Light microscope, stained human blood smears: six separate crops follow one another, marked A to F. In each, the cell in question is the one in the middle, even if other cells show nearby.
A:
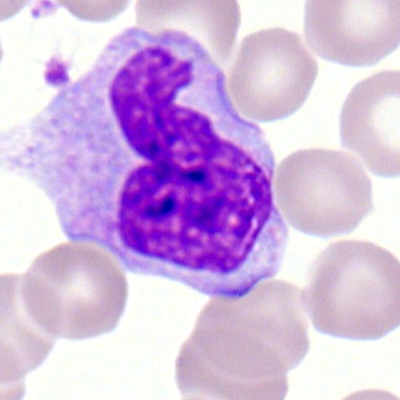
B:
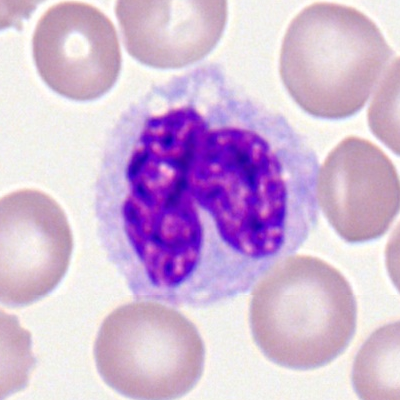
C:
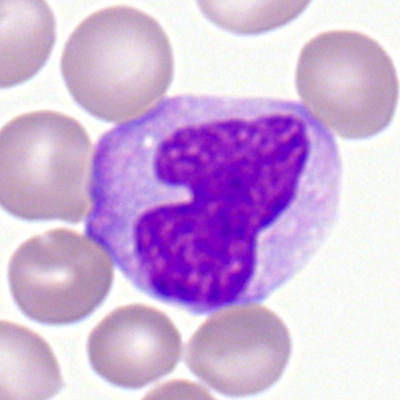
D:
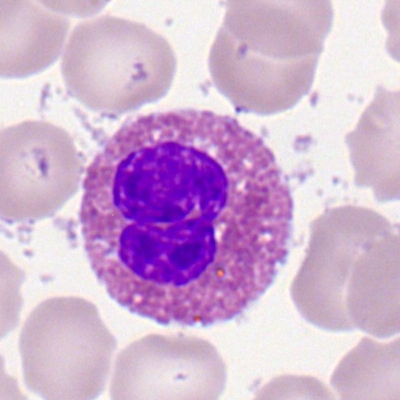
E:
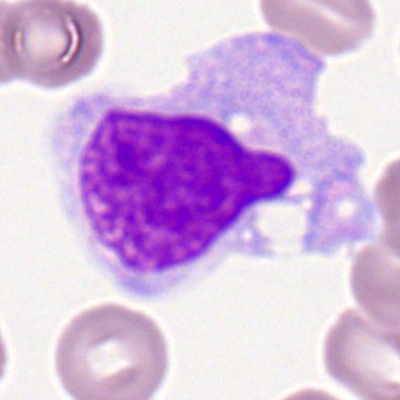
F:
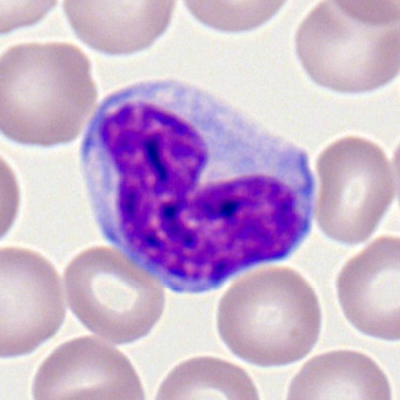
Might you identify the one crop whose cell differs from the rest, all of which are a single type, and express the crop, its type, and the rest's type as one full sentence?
Crop D is singled out as an eosinophil, and all of the other crops show monocytes.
